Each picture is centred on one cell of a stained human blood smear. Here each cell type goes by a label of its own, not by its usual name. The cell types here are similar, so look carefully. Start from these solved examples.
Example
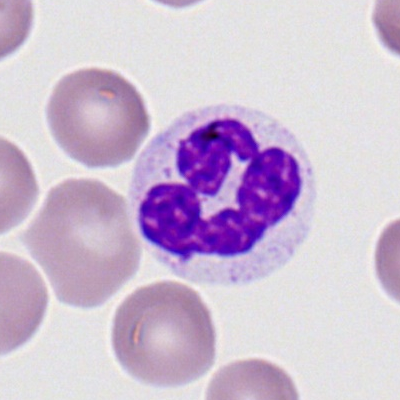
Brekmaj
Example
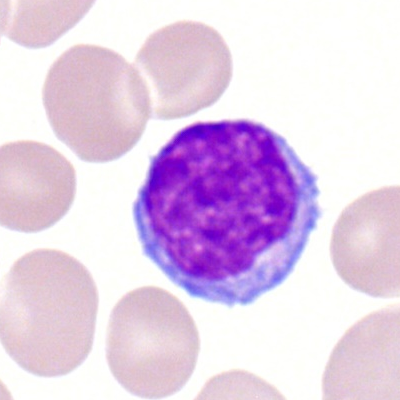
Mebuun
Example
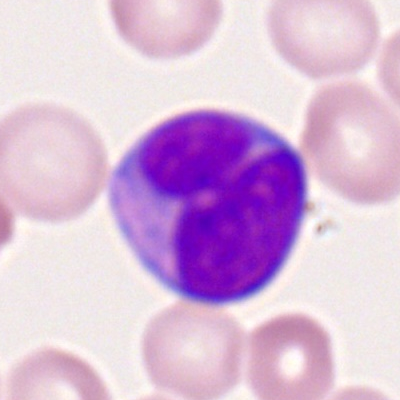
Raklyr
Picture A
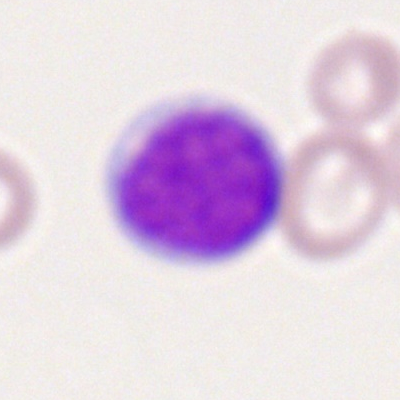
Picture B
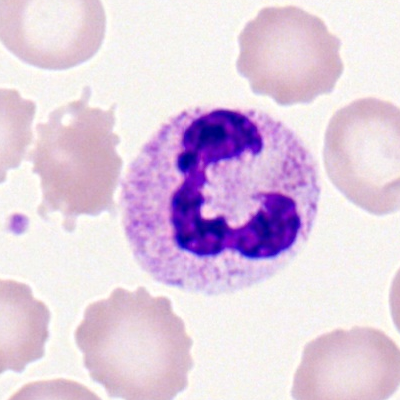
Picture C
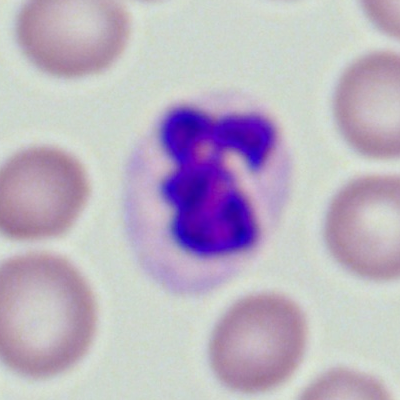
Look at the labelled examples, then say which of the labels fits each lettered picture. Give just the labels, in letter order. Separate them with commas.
Mebuun, Brekmaj, Brekmaj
